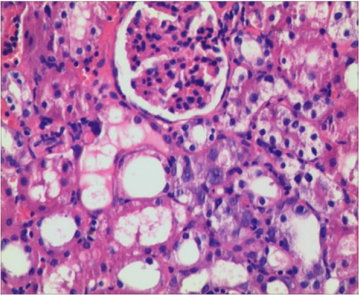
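This is kidney cortex, with a glomerulus at the top and tubules filling the rest of the field. The glomerulus is a cellular tuft of capillaries inside its capsule. Many of the tubules look unlike normal: their lumens are widened into clear, empty spaces and the lining cells are pale and vacuolated, with a frothy cytoplasm. Some pink material lies within and between the damaged tubules, and the tissue is far less orderly than healthy cortex.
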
